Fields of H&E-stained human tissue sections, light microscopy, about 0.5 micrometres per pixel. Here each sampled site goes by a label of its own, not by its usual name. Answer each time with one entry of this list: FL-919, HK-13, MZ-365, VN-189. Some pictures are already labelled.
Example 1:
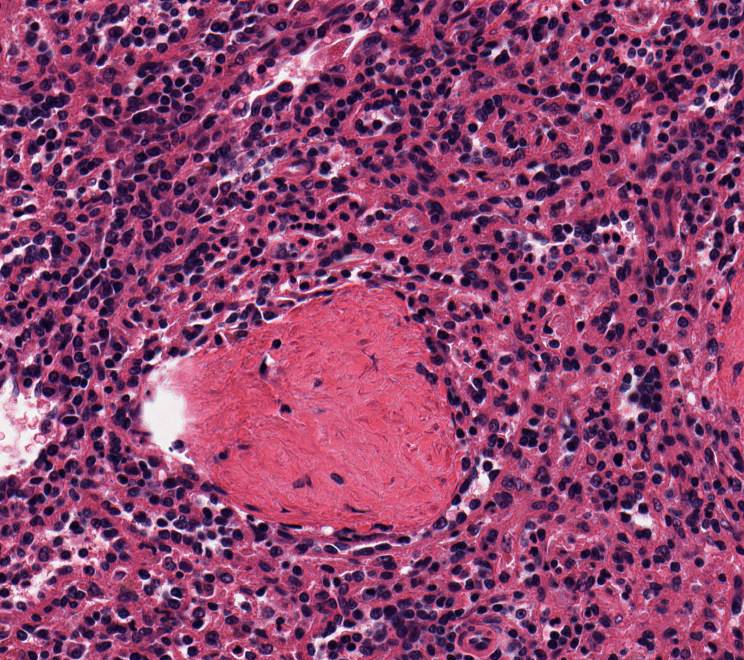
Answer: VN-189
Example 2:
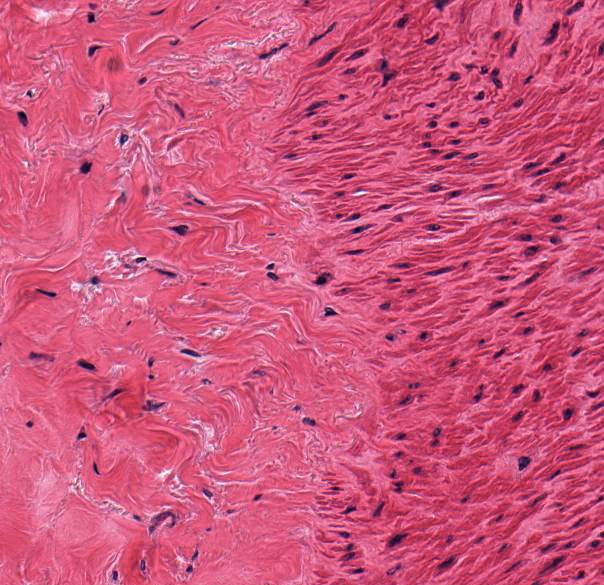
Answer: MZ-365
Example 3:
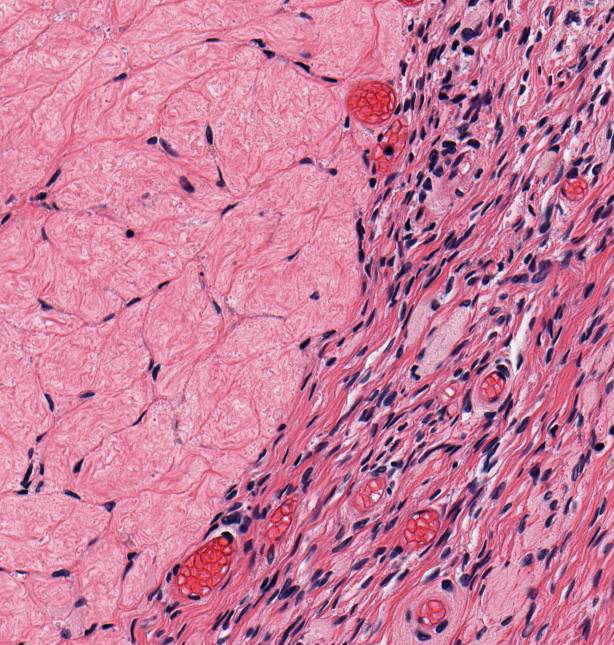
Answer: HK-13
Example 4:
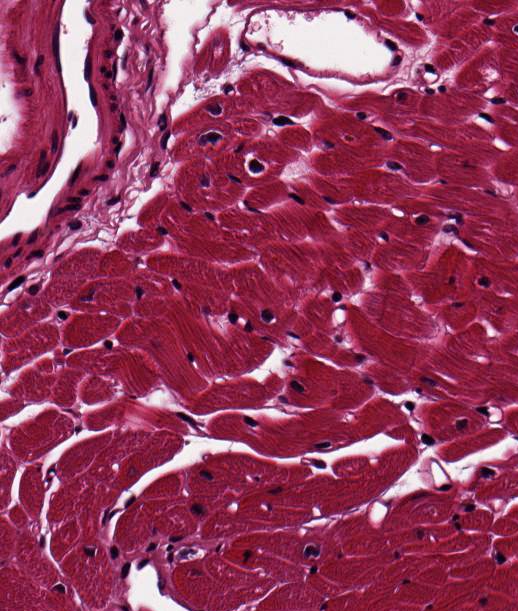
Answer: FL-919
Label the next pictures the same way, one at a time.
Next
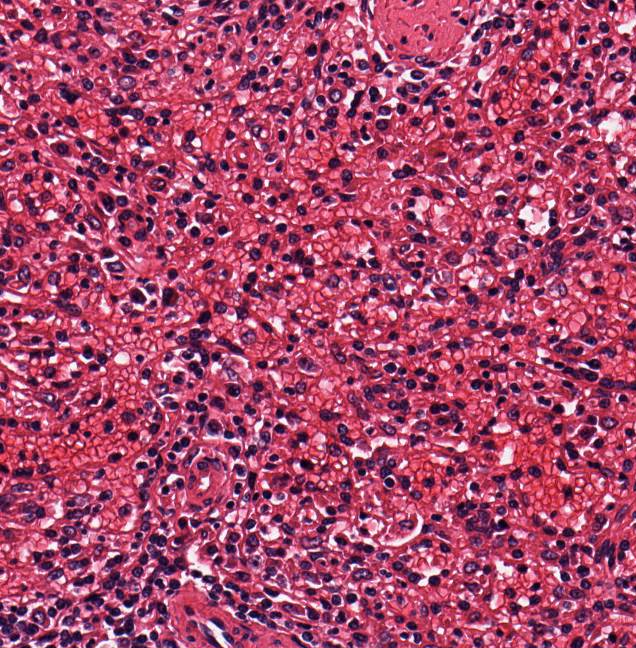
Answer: VN-189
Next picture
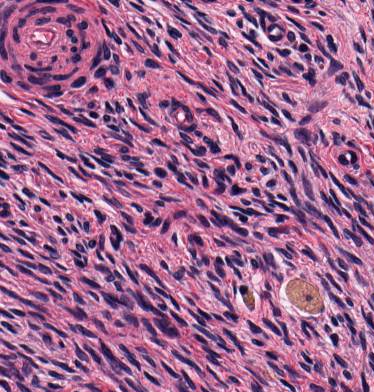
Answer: HK-13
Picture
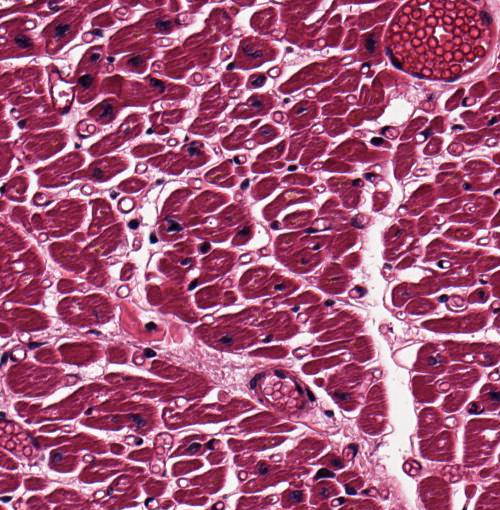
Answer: FL-919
